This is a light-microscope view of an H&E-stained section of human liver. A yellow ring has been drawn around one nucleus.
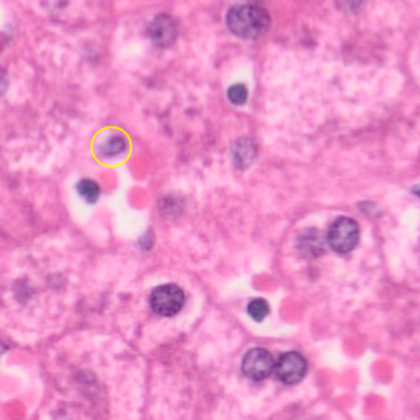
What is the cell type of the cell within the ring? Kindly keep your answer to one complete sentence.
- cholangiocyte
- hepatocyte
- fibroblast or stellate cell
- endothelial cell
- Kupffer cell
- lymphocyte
Cell type answer for this item: the cell within the ring is a Kupffer cell.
